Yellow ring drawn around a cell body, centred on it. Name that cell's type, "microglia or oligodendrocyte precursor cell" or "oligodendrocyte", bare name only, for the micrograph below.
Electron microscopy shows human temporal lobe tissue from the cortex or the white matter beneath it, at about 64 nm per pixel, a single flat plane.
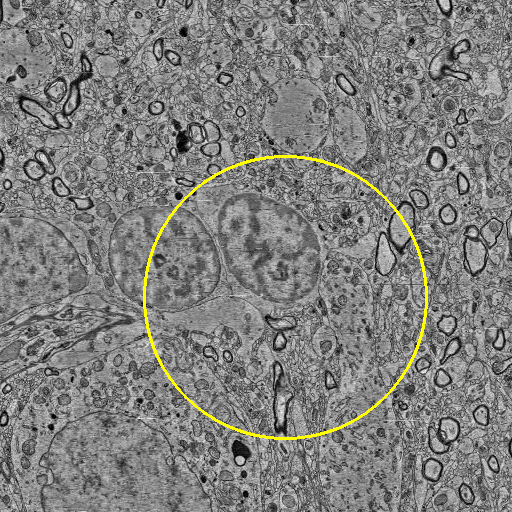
oligodendrocyte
